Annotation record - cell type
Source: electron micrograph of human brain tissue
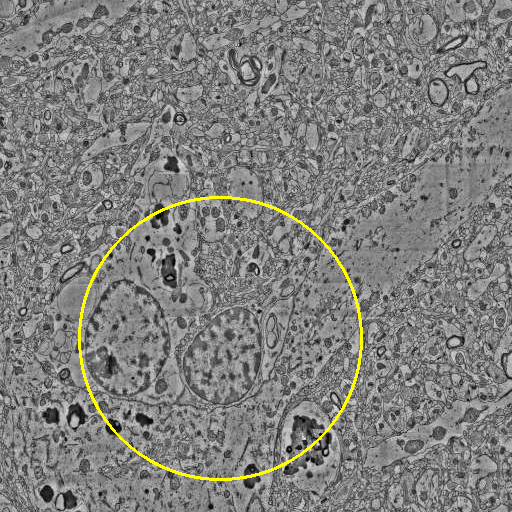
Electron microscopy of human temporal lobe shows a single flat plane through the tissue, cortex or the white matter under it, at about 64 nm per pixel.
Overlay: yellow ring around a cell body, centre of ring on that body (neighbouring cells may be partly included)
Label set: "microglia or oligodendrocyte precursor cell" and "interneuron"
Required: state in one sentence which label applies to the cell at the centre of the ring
This cell should be labelled as a microglial cell or oligodendrocyte precursor cell.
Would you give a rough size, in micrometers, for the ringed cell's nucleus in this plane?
In this plane the nucleus measures roughly 6 by 5 micrometers.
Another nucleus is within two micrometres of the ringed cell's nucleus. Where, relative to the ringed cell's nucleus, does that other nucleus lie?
The other one lies to the left of it.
